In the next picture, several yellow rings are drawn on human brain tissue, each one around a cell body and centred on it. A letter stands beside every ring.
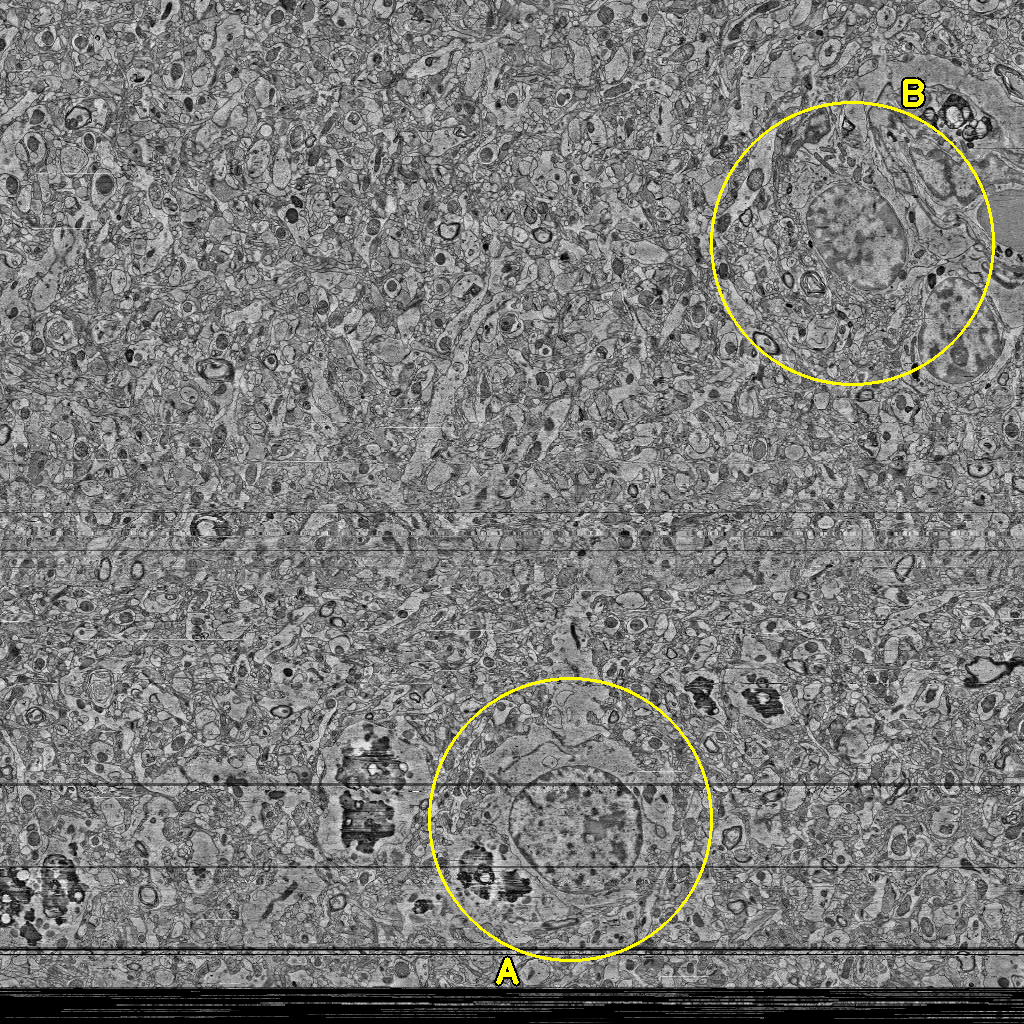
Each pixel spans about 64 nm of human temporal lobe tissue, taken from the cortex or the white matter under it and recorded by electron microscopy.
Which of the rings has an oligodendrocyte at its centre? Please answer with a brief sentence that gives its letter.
Ring B has it at its centre.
